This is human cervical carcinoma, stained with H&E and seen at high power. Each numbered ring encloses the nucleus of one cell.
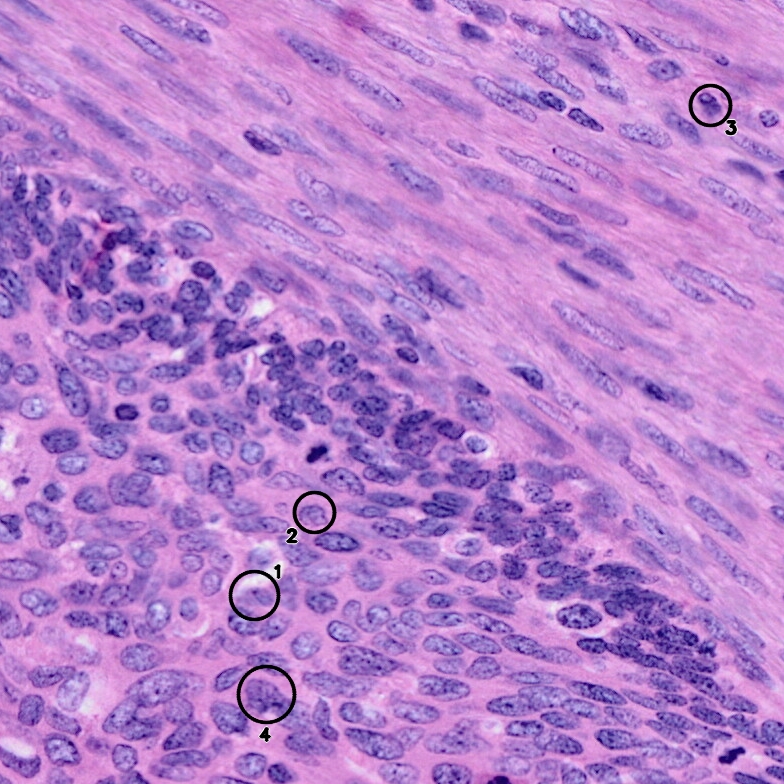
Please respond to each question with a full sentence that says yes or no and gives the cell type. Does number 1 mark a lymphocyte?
No, the cell under number 1 is a squamous carcinoma cell, not a lymphocyte.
